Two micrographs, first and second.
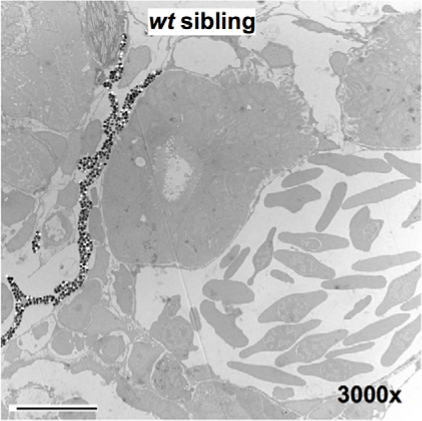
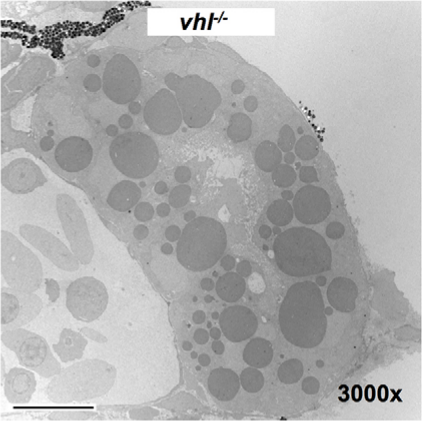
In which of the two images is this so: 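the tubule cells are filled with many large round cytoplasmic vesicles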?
the second image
